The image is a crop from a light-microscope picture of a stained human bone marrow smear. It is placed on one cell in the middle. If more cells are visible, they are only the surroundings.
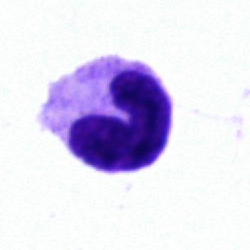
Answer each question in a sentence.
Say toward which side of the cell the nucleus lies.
The nucleus lies toward the lower right of the cell.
